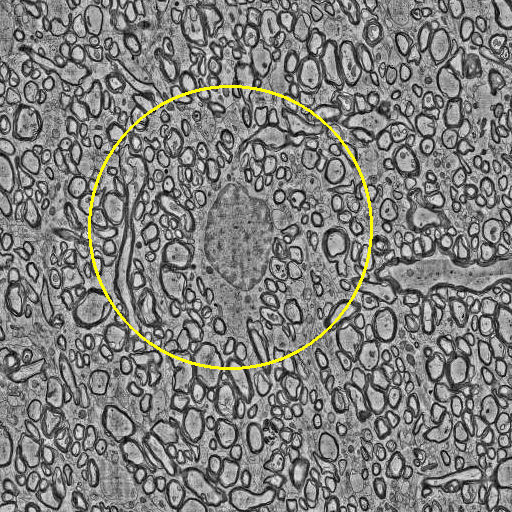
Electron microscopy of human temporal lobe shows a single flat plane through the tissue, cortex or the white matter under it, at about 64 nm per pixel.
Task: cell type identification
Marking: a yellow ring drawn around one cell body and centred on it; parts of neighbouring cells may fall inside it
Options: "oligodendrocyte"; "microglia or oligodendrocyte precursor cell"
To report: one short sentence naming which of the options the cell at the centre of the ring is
The cell at the centre of the ring is an oligodendrocyte.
